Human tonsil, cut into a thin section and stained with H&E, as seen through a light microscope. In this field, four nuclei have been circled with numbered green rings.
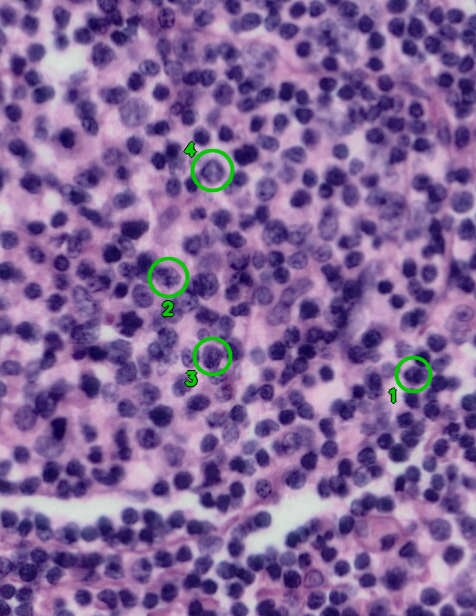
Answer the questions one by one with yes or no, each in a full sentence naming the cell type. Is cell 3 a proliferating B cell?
Yes, the cell corresponding to number 3 is a proliferating B cell.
